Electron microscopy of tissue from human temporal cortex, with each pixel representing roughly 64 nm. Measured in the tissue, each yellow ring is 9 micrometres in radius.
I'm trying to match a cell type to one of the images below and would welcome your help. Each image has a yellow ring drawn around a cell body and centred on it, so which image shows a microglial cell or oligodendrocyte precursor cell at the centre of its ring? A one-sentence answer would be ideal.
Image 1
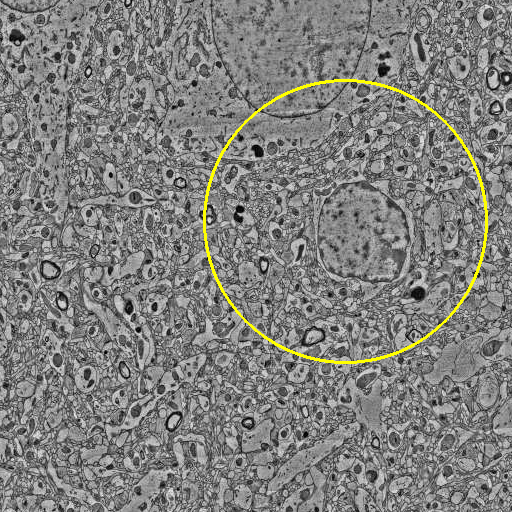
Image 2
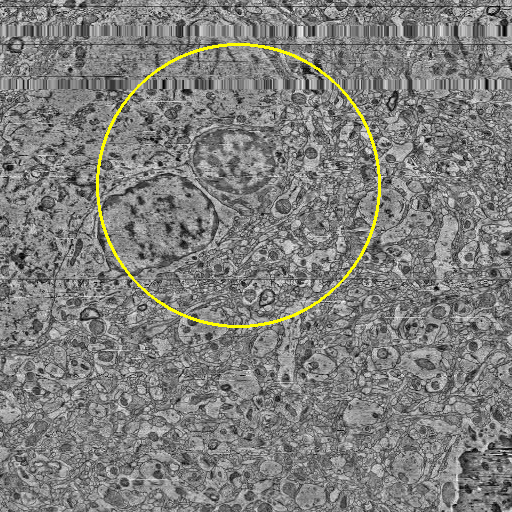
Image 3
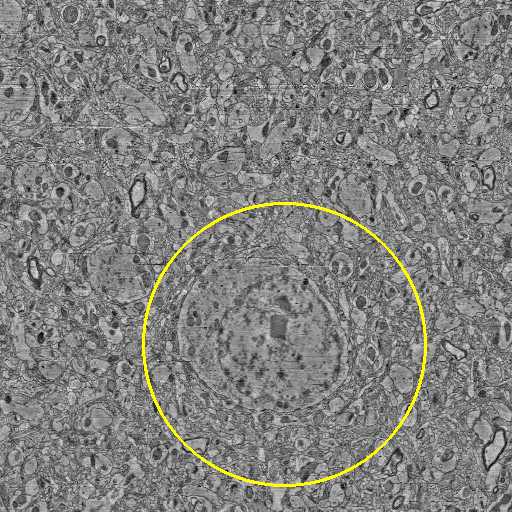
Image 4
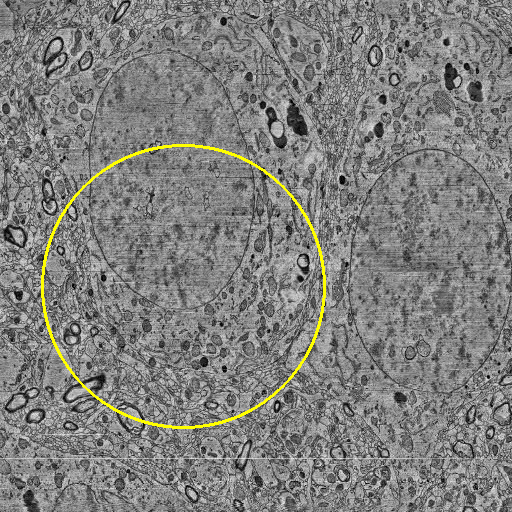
Image 1 shows it at the centre of the ring.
